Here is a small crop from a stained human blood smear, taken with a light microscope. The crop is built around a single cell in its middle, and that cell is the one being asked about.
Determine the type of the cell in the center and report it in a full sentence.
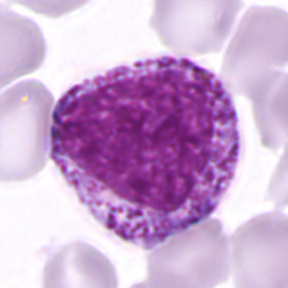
Seen at the centre of the crop is a myelocyte.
